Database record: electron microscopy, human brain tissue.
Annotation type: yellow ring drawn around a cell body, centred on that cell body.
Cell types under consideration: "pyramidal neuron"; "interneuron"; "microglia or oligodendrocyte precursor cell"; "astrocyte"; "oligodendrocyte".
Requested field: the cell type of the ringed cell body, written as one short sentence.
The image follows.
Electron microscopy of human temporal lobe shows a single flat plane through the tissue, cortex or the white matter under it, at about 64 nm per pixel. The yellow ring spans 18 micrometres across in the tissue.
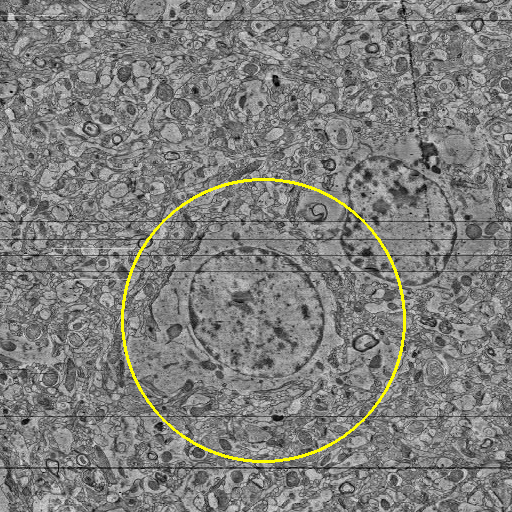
The ringed cell body represents an astrocyte.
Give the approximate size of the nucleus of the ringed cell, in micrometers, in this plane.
The ringed cell's nucleus is about 9 micrometres long and 8 micrometres wide in this plane.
